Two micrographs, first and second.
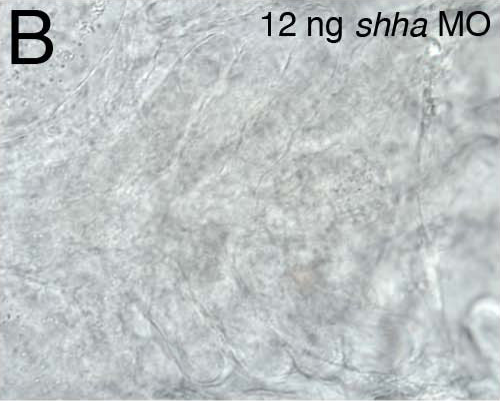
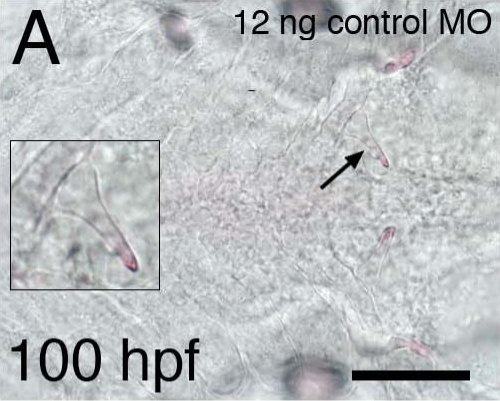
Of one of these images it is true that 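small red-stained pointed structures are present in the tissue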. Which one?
The second image.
